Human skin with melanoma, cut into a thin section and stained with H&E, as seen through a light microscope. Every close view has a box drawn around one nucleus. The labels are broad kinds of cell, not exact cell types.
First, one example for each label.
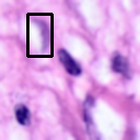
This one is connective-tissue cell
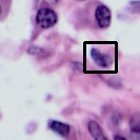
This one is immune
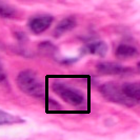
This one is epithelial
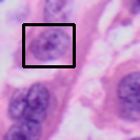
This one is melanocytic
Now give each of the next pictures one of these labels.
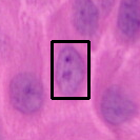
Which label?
epithelial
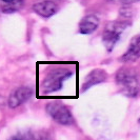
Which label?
melanocytic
